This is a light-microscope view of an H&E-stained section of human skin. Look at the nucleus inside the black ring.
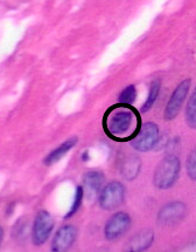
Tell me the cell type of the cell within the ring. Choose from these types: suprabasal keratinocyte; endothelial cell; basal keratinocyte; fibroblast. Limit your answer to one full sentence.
Assigned to a cell type, the cell within the ring is a basal keratinocyte.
